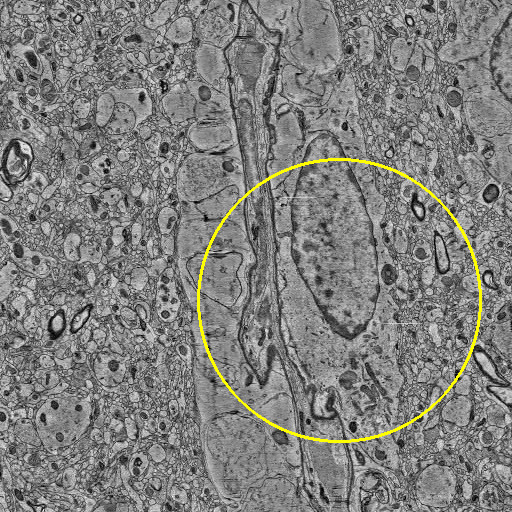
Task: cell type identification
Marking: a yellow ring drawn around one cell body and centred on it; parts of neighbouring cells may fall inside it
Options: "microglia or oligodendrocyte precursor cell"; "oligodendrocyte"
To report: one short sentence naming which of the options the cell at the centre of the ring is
The cell at the centre of the ring is a microglial cell or oligodendrocyte precursor cell.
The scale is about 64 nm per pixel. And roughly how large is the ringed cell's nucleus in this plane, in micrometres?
The ringed cell's nucleus is roughly 11 by 5 micrometres and clearly longer than it is wide in this plane.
